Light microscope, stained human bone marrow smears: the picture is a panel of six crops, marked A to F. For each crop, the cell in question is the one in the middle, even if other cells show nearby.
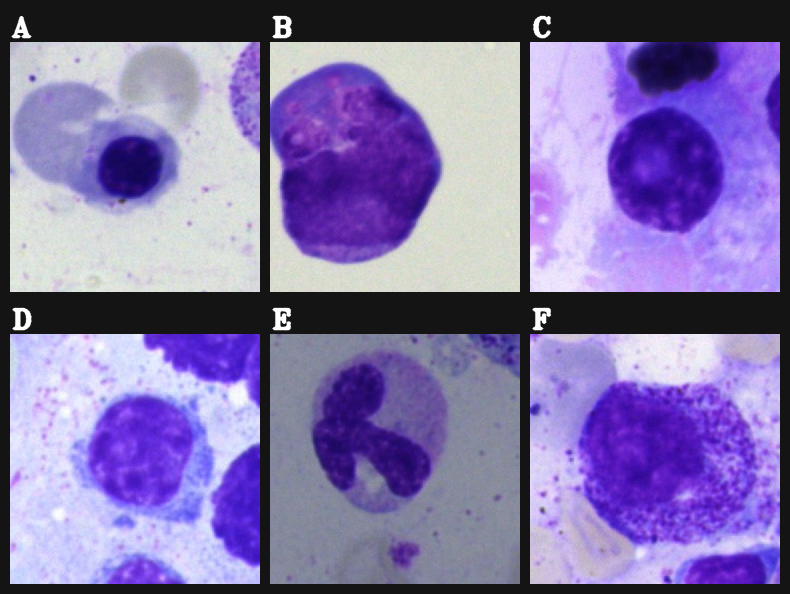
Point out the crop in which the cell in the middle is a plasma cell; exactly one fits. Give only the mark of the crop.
C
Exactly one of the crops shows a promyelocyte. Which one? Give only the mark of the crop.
F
